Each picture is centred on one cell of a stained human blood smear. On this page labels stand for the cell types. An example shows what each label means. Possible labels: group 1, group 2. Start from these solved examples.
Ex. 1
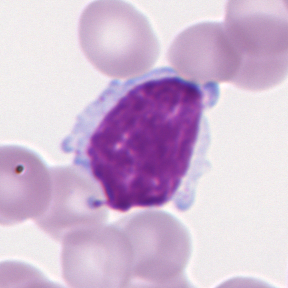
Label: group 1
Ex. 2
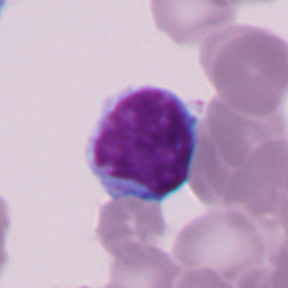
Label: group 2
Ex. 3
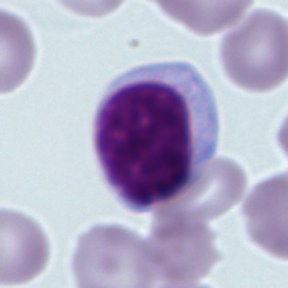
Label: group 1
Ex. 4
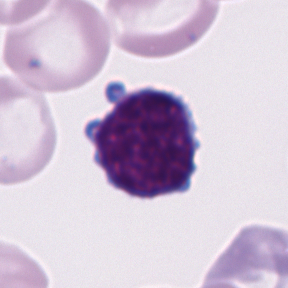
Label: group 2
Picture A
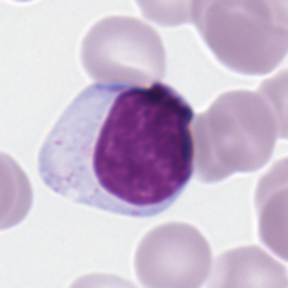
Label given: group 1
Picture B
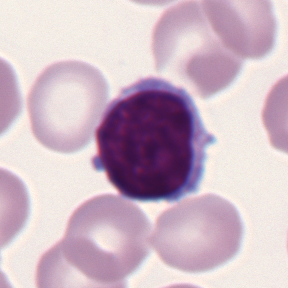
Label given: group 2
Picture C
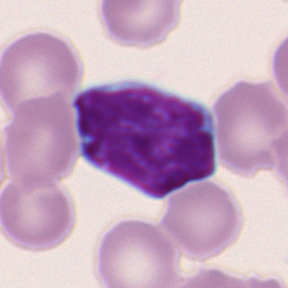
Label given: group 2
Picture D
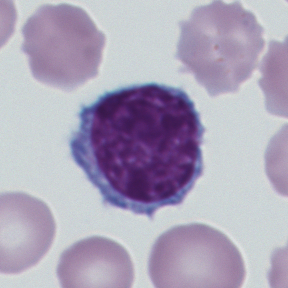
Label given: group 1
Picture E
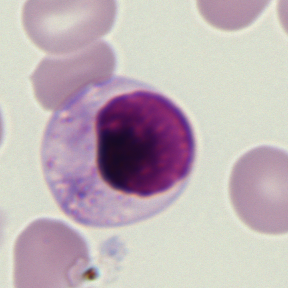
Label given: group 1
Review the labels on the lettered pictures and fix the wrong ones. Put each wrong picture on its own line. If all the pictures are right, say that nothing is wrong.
D is labelled group 1; correct label: group 2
